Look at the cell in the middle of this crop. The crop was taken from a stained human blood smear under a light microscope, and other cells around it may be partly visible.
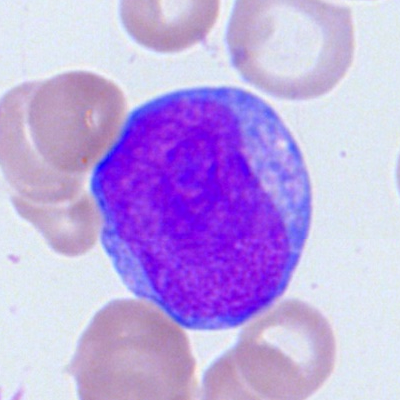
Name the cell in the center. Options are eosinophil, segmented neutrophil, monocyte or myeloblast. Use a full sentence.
Here the centrally located cell is a myeloblast.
